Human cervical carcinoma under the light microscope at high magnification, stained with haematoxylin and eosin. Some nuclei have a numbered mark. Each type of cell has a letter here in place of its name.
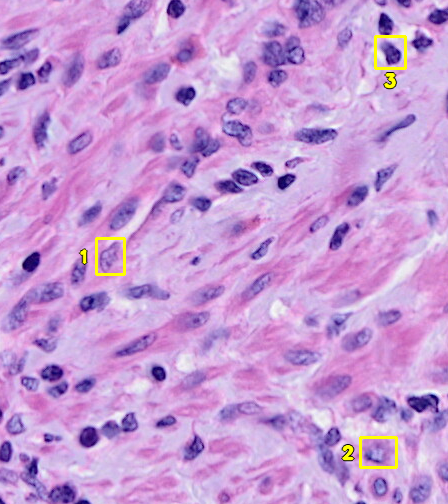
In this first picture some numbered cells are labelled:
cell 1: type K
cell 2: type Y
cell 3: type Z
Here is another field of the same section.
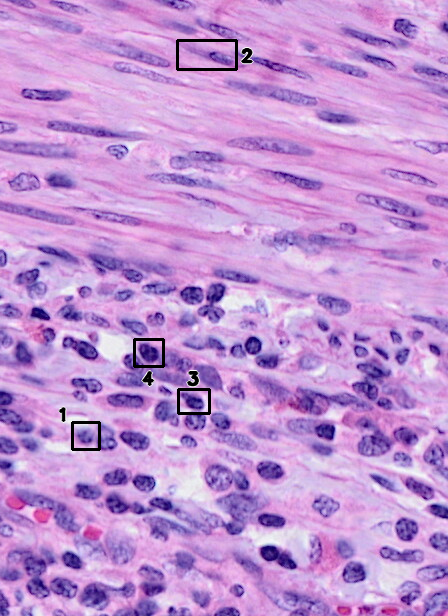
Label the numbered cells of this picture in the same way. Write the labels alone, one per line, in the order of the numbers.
type Z
type Y
type Z
type Z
